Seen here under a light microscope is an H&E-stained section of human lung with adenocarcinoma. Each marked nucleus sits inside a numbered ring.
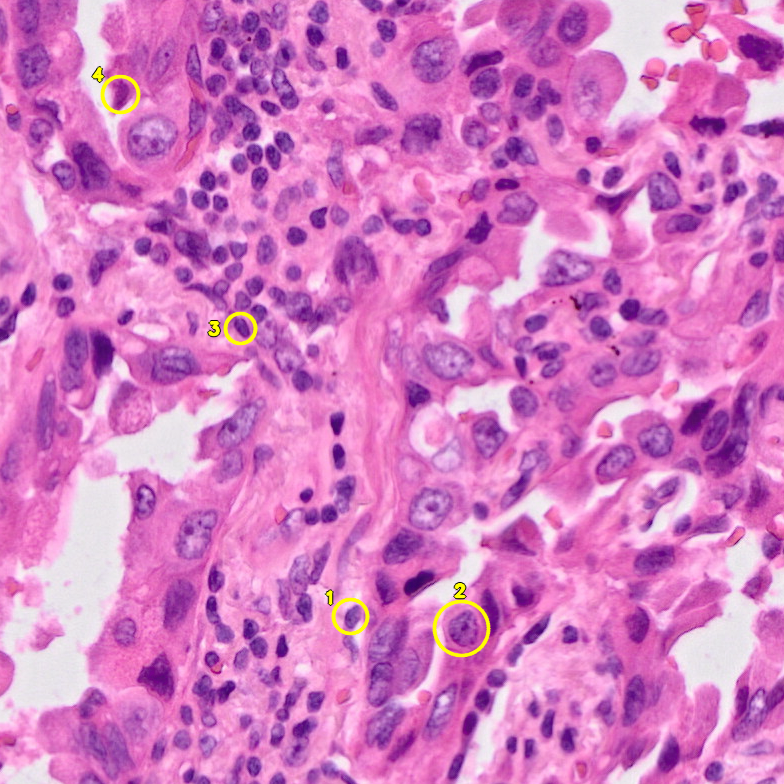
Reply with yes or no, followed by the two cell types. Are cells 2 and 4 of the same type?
Yes, both are carcinoma cells.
